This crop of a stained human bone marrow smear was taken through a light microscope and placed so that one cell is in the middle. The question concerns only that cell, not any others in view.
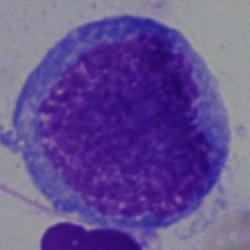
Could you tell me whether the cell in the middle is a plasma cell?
no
